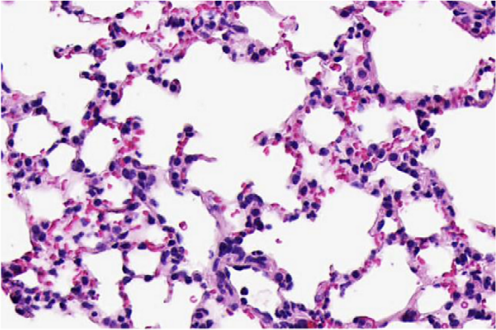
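Lung tissue in which the alveolar walls are thickened and densely packed with dark purple nuclei and scattered red blood cells. The air spaces are irregular, some large and some narrowed, with much thicker septa between them than the usual thin delicate walls.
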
